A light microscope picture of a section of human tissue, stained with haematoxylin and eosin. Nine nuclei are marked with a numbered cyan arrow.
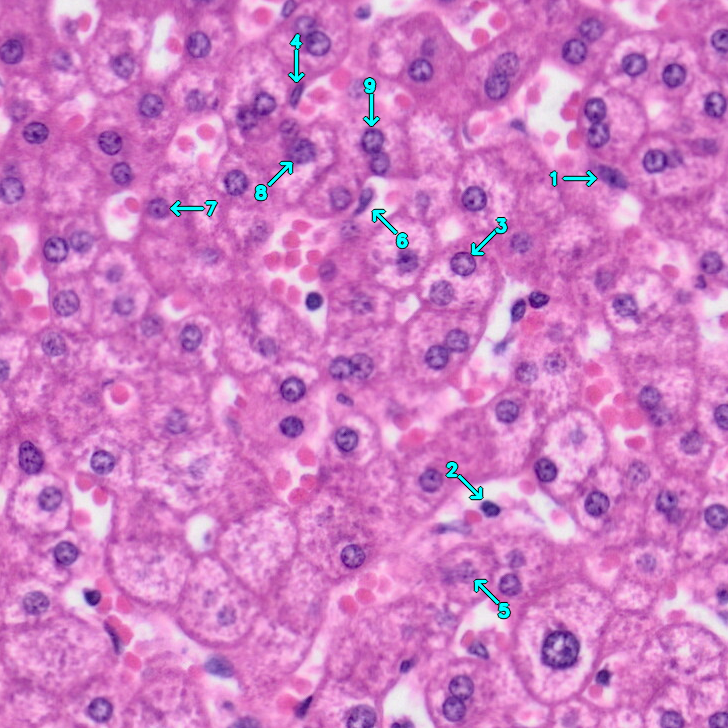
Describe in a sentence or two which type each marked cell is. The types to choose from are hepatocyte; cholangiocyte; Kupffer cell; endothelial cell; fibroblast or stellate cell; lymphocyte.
Cell 1 is a fibroblast or stellate cell. Cell 2 is a lymphocyte. Cells 3, 5, 7, 8 and 9 are hepatocytes. Cell 4 is an endothelial cell. Cell 6 is a Kupffer cell.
